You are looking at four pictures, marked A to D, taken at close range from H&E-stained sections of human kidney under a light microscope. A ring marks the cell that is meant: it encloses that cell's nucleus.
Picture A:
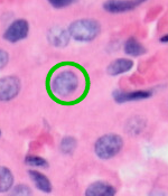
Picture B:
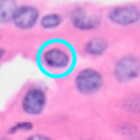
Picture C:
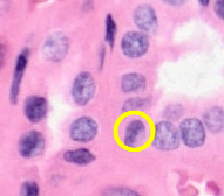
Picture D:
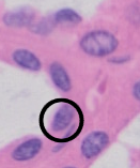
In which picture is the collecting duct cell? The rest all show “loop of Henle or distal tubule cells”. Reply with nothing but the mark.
C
